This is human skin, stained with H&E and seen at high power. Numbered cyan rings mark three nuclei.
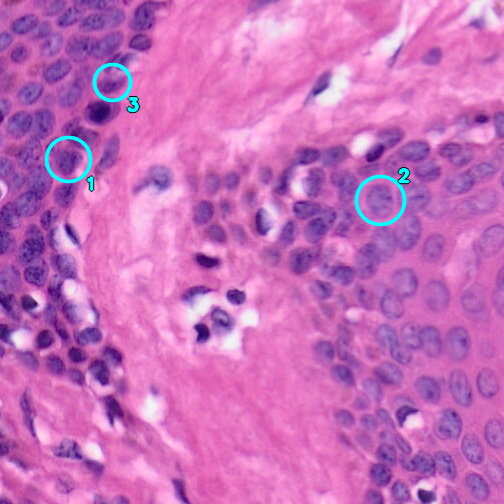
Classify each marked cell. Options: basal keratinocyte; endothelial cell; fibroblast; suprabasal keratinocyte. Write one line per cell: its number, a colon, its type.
1: basal keratinocyte
2: suprabasal keratinocyte
3: basal keratinocyte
